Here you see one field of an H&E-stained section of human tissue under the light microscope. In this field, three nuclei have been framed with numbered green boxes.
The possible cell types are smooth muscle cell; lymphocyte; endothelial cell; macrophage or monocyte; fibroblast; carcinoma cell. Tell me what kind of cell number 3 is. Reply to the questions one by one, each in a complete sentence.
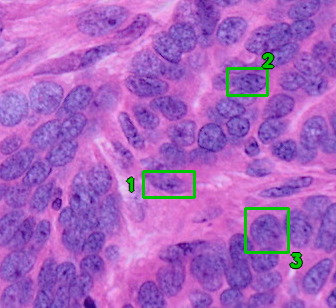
The cell identified by the number 3 is a carcinoma cell.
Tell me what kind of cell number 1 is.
The numeral 1 marks a fibroblast in this section.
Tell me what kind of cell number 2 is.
The cell carrying label 2 is identified as a carcinoma cell.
